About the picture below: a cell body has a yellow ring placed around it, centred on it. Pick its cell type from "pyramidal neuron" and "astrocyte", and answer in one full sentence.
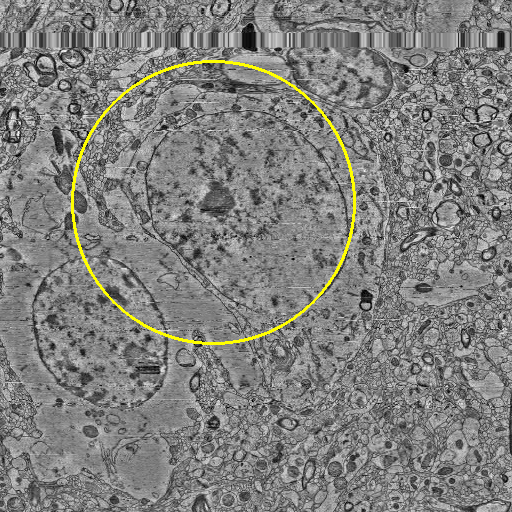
In the picture, a pyramidal neuron is the cell sitting at the centre of the yellow ring.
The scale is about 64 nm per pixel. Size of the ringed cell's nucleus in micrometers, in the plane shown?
Roughly 15 by 12 micrometres in this plane, for the nucleus of the ringed cell.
